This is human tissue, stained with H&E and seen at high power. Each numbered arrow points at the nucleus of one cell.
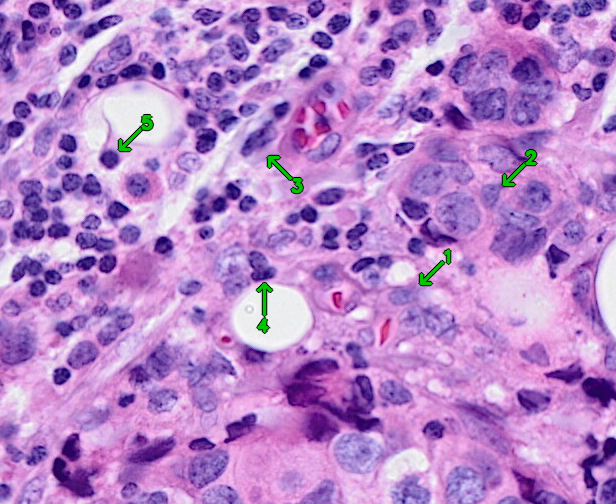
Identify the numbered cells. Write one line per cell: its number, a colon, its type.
1: endothelial cell
2: carcinoma cell
3: lymphocyte
4: lymphocyte
5: lymphocyte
